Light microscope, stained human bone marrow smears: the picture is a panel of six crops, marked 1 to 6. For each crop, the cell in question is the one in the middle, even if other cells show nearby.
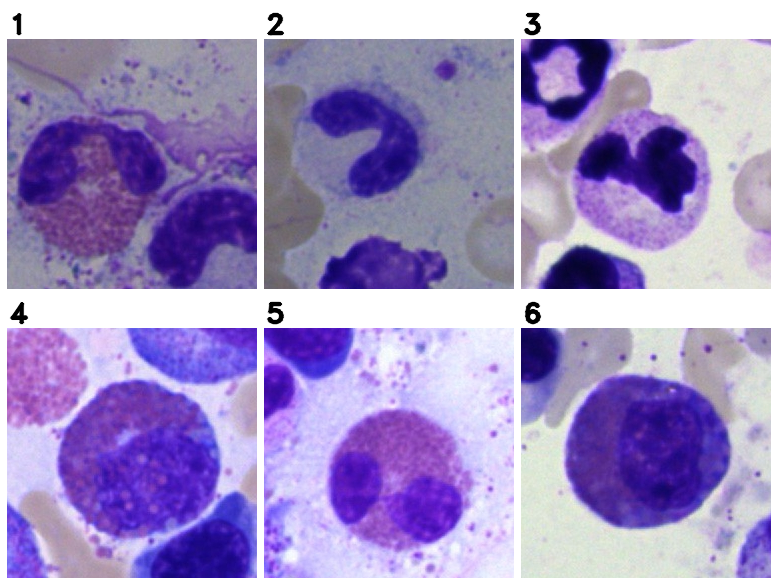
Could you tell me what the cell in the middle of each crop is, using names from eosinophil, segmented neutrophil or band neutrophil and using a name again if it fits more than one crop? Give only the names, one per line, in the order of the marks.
eosinophil
band neutrophil
segmented neutrophil
eosinophil
eosinophil
eosinophil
